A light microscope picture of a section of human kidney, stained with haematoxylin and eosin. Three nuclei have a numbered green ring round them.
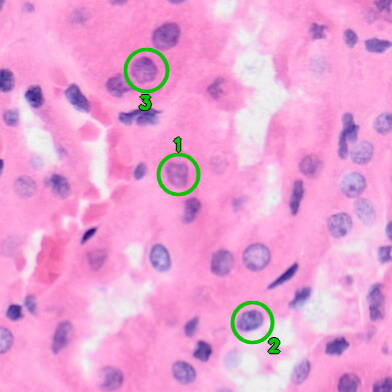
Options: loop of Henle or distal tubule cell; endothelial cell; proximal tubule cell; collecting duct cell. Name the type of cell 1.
proximal tubule cell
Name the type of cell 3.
proximal tubule cell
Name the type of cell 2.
loop of Henle or distal tubule cell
